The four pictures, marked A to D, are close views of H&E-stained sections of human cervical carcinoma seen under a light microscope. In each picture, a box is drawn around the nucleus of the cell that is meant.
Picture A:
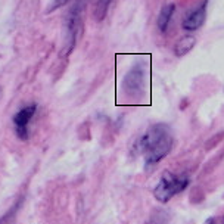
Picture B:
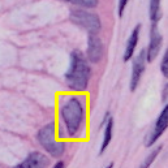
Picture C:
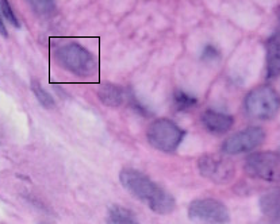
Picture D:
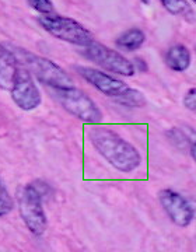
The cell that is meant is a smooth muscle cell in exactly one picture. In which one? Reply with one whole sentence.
Picture D is the one that shows the smooth muscle cell.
